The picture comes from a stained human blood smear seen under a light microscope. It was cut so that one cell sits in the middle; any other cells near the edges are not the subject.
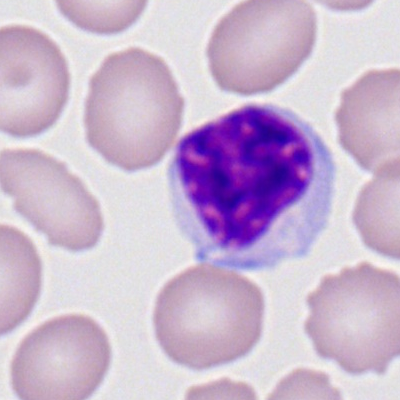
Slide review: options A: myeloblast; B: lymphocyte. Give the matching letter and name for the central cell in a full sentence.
The one to choose is option B, as the cell in the middle is a lymphocyte.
